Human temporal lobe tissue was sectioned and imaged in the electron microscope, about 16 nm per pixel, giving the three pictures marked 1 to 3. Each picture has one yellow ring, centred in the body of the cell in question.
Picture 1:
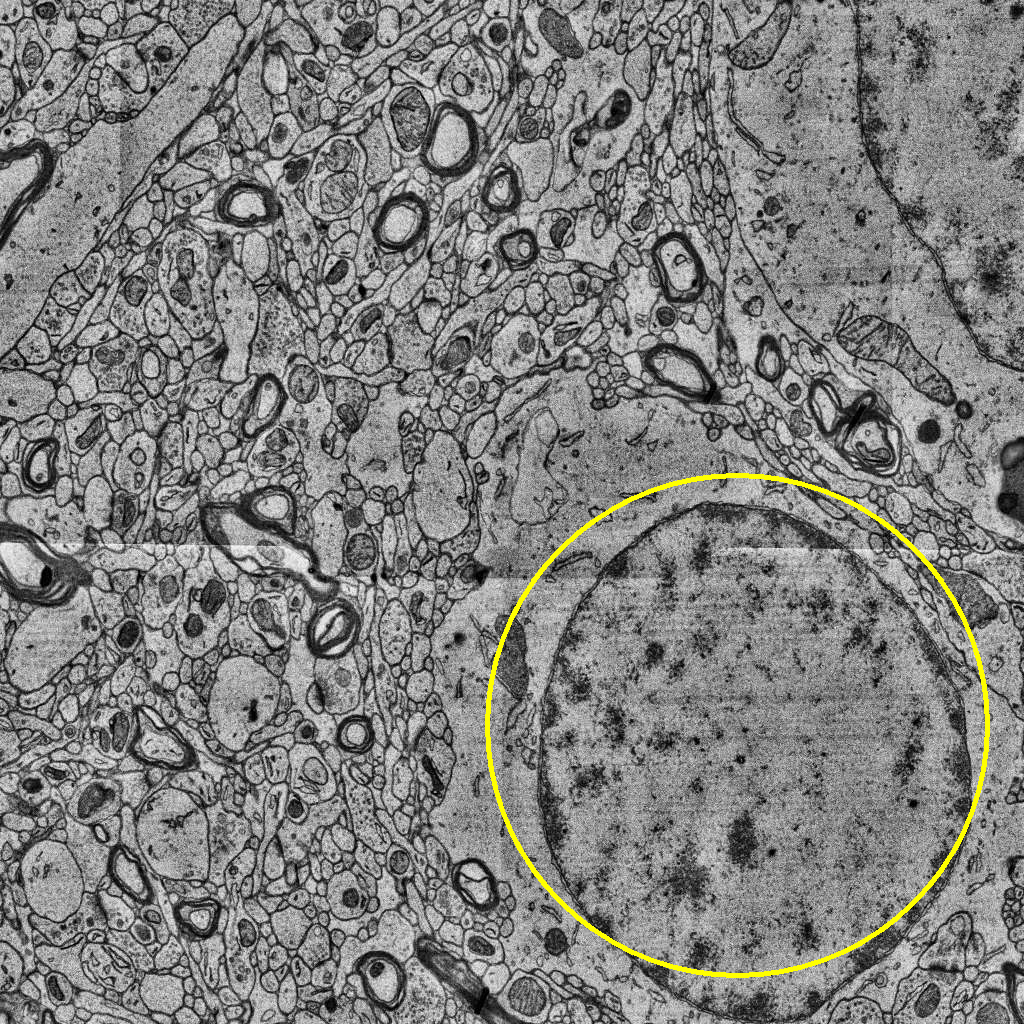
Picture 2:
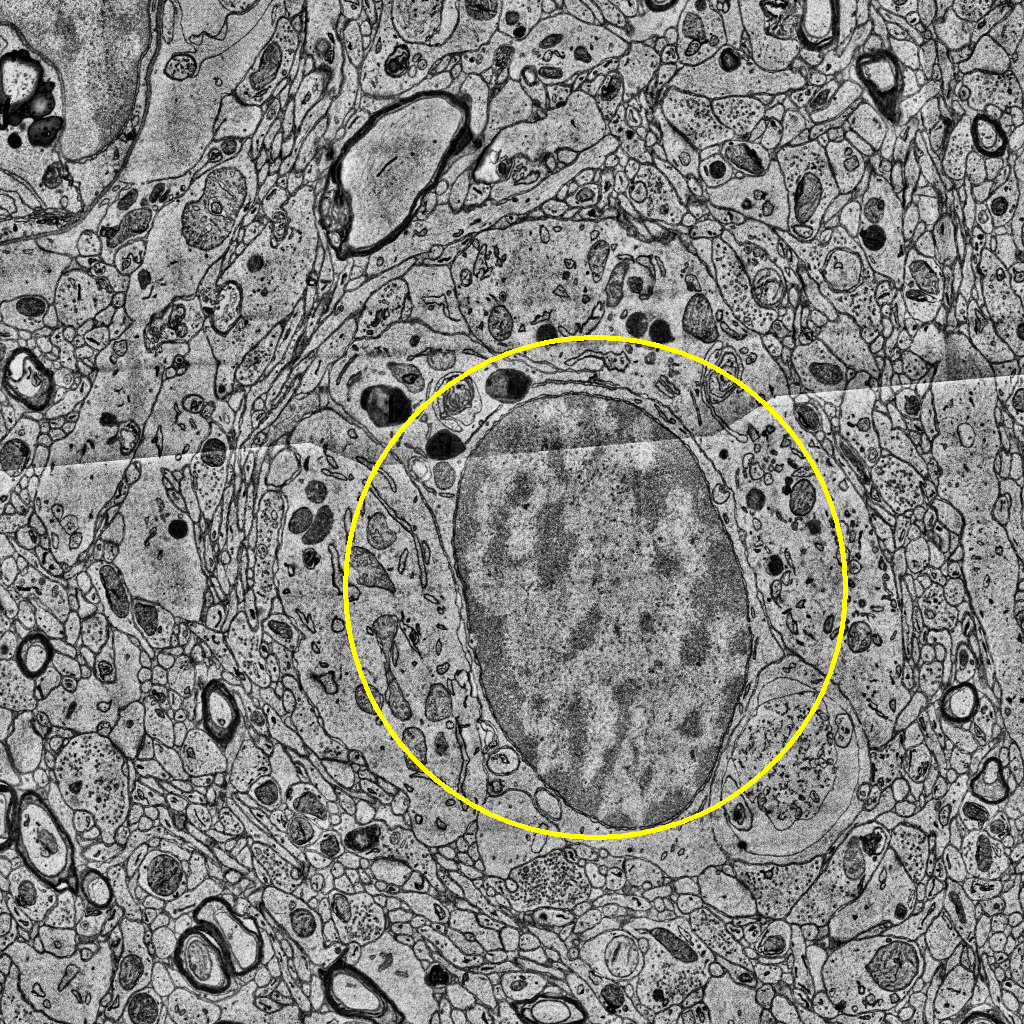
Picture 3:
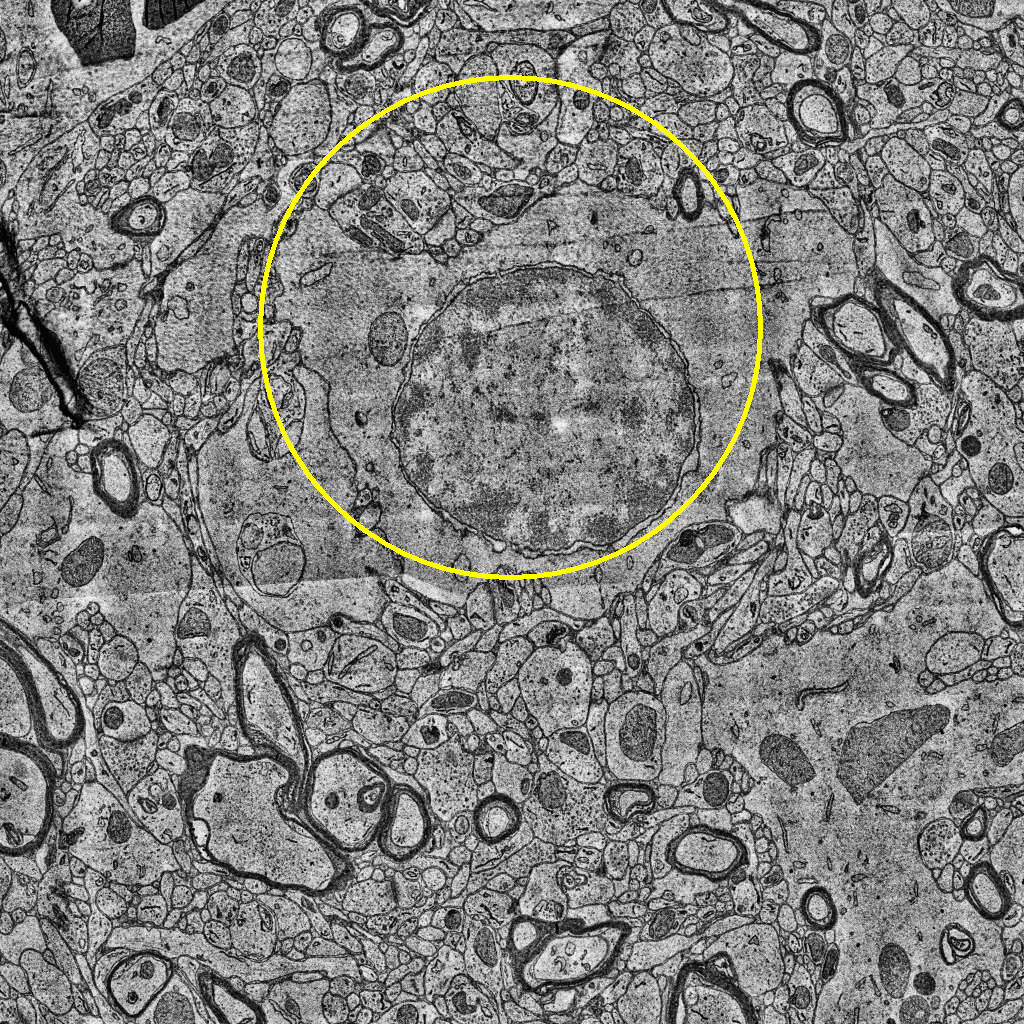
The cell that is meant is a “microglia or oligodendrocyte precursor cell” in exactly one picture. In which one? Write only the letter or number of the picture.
2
